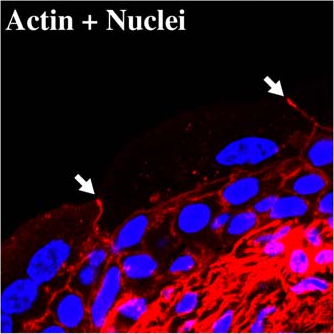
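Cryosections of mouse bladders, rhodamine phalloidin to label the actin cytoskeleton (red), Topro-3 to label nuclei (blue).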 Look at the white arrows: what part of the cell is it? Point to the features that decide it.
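The arrows point to small bright red dots at the apical surface of the epithelium. Each dot sits where a red cell boundary line meets the luminal surface. Red lines run down from these dots between the large surface cells.
Answer: tight junctions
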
